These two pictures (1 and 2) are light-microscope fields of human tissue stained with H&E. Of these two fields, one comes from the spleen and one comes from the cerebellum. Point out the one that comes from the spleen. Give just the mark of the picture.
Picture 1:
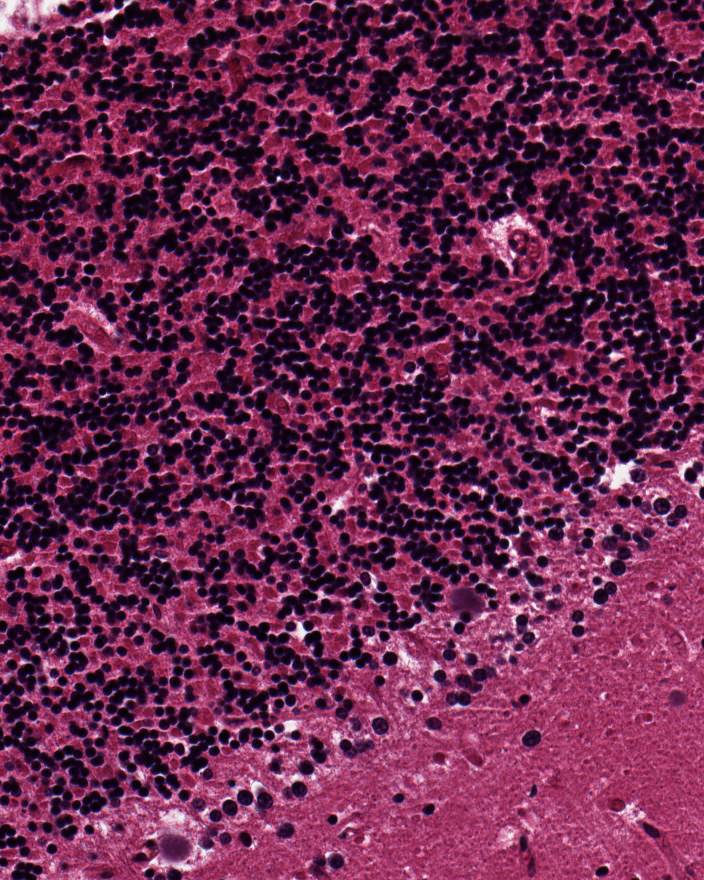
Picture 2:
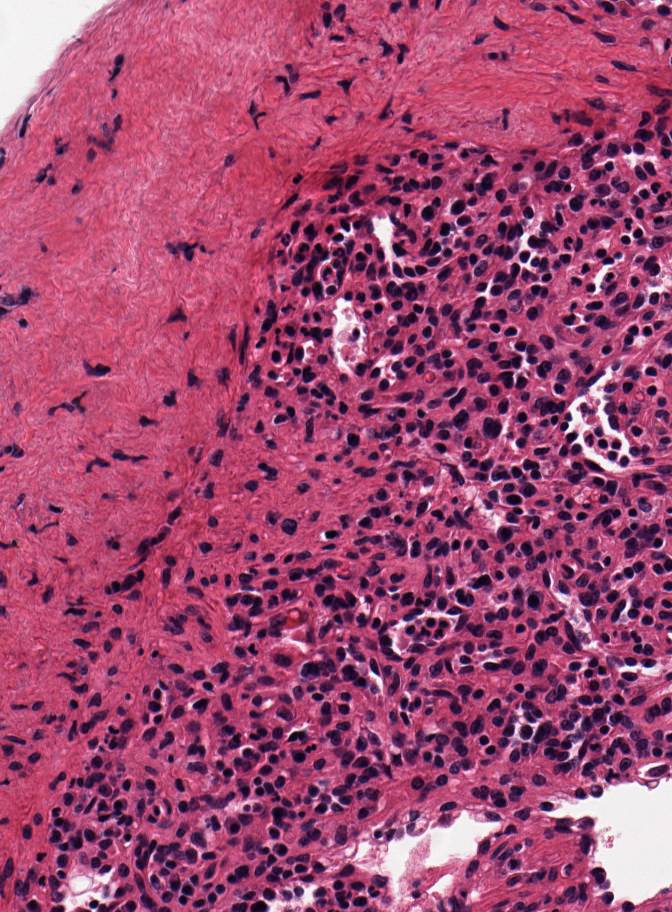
2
